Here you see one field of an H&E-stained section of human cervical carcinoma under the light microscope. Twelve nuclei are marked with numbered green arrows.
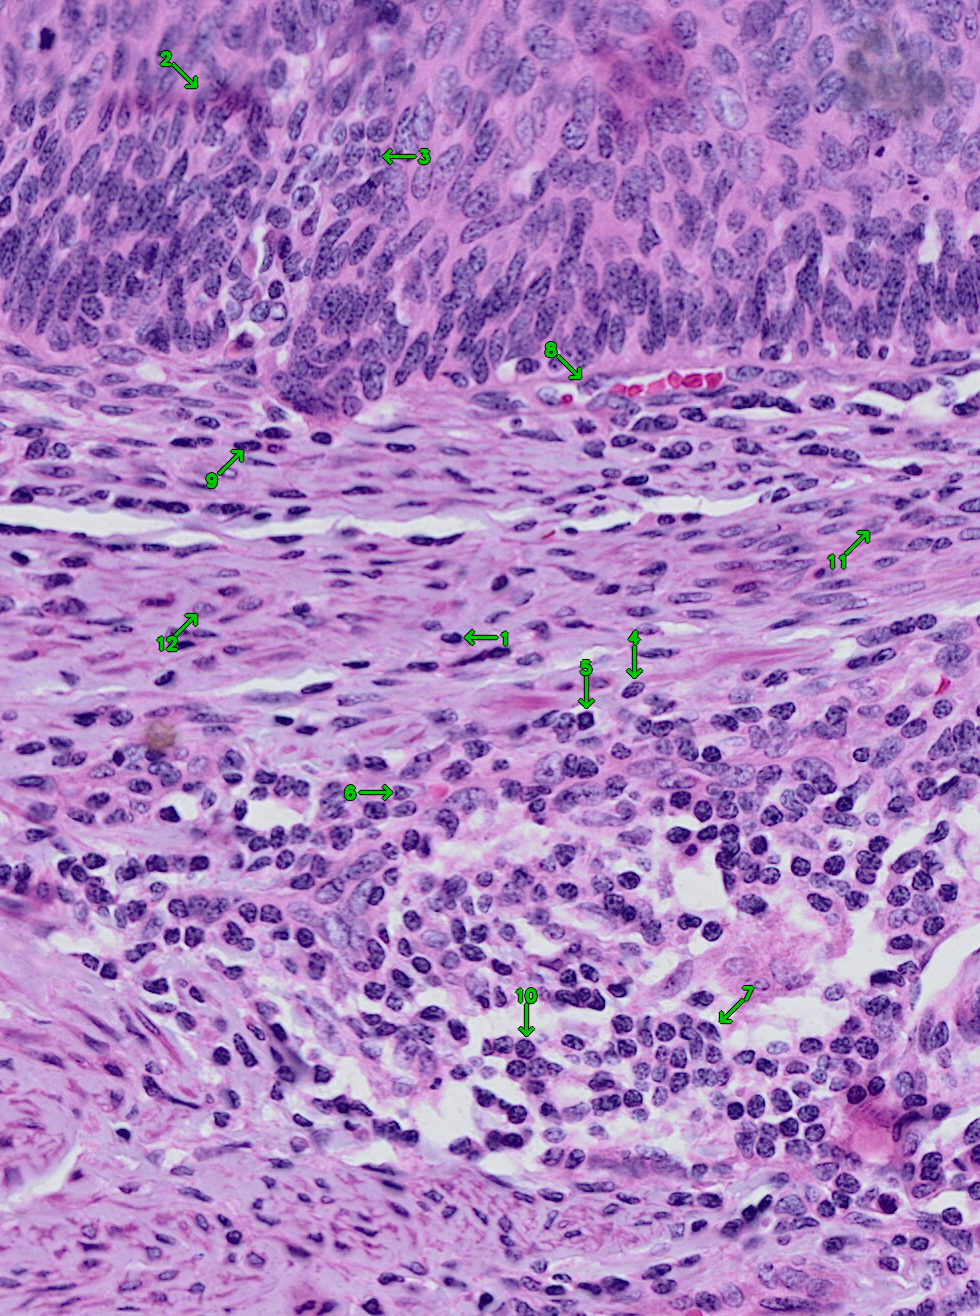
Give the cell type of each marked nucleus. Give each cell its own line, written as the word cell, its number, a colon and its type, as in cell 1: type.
cell 1: lymphocyte
cell 2: squamous carcinoma cell
cell 3: squamous carcinoma cell
cell 4: lymphocyte
cell 5: lymphocyte
cell 6: lymphocyte
cell 7: lymphocyte
cell 8: endothelial cell
cell 9: lymphocyte
cell 10: lymphocyte
cell 11: smooth muscle cell
cell 12: smooth muscle cell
